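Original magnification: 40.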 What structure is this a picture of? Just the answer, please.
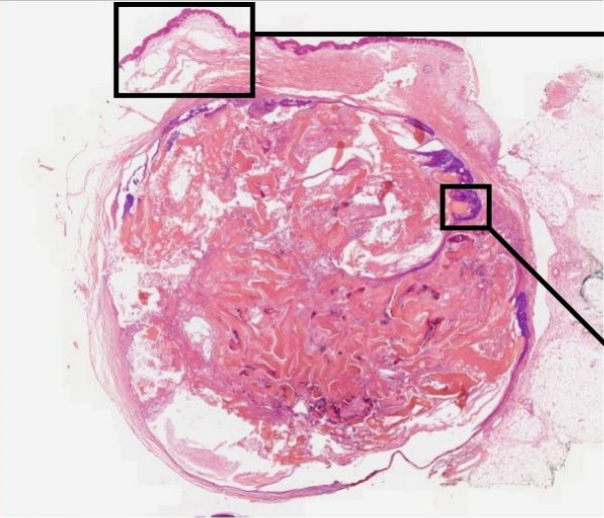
Well circumscribed lesion in the dermis.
